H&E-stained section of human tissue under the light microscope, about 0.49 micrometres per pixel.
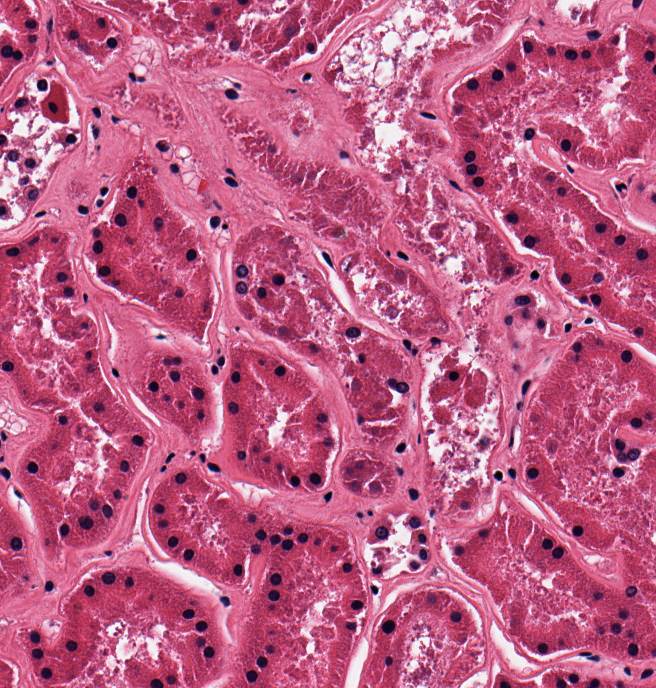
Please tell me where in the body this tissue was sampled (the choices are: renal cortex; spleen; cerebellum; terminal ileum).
renal cortex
